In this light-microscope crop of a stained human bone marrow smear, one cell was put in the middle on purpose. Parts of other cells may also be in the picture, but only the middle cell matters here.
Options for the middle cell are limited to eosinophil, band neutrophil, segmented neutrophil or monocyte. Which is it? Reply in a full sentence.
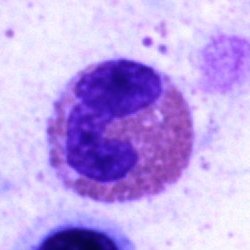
Positioned in the middle of the crop is an eosinophil.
